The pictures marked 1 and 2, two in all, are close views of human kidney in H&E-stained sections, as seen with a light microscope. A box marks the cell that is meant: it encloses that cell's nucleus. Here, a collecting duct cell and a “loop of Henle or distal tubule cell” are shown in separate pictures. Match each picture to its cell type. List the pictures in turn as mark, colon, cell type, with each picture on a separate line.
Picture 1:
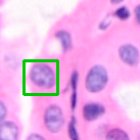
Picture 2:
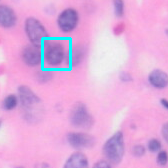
1: loop of Henle or distal tubule cell
2: collecting duct cell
